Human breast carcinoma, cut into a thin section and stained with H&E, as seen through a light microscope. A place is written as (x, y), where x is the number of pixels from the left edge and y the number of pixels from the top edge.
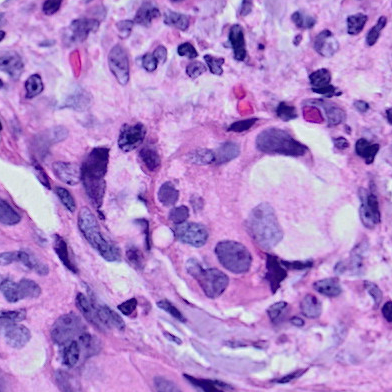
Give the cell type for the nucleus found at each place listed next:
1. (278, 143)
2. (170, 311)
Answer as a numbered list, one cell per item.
1. carcinoma cell
2. fibroblast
